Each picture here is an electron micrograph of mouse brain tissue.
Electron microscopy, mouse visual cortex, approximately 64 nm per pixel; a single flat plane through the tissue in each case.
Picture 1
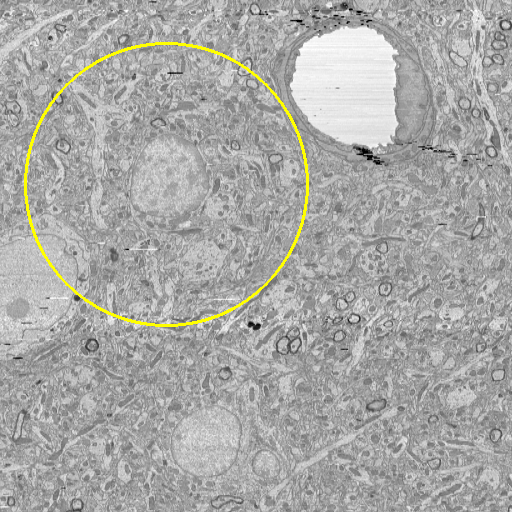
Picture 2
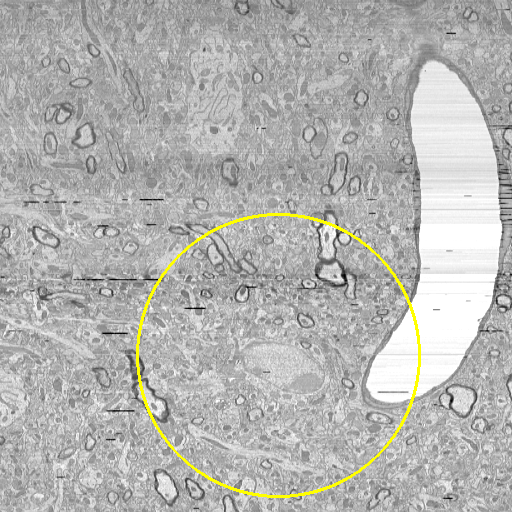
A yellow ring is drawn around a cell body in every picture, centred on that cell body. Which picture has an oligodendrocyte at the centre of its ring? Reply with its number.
1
